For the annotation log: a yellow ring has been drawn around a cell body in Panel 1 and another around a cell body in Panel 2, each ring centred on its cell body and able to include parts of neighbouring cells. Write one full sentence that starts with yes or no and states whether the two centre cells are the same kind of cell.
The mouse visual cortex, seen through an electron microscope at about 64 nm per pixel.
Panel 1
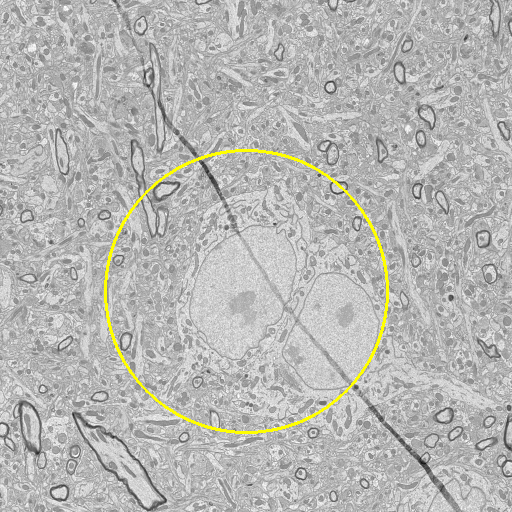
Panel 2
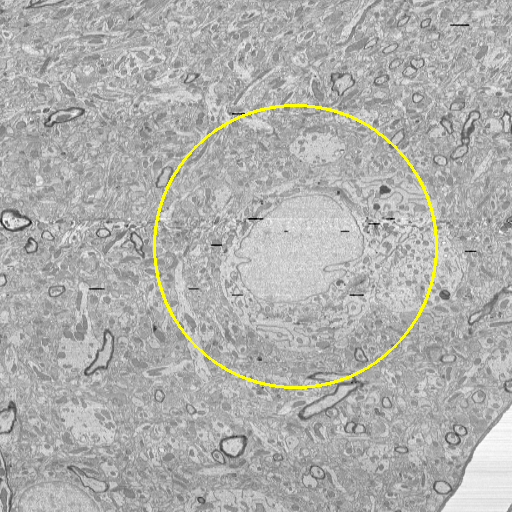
Yes, the two centre cells are the same kind of cell.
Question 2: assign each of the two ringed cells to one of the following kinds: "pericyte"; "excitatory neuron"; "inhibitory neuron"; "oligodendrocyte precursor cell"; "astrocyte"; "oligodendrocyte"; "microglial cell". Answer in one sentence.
The cell at the ring centre is an inhibitory neuron in both pictures.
